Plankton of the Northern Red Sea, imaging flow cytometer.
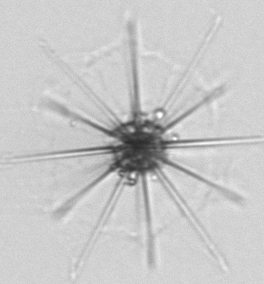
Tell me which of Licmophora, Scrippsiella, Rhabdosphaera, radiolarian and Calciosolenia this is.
The picture shows a radiolarian.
